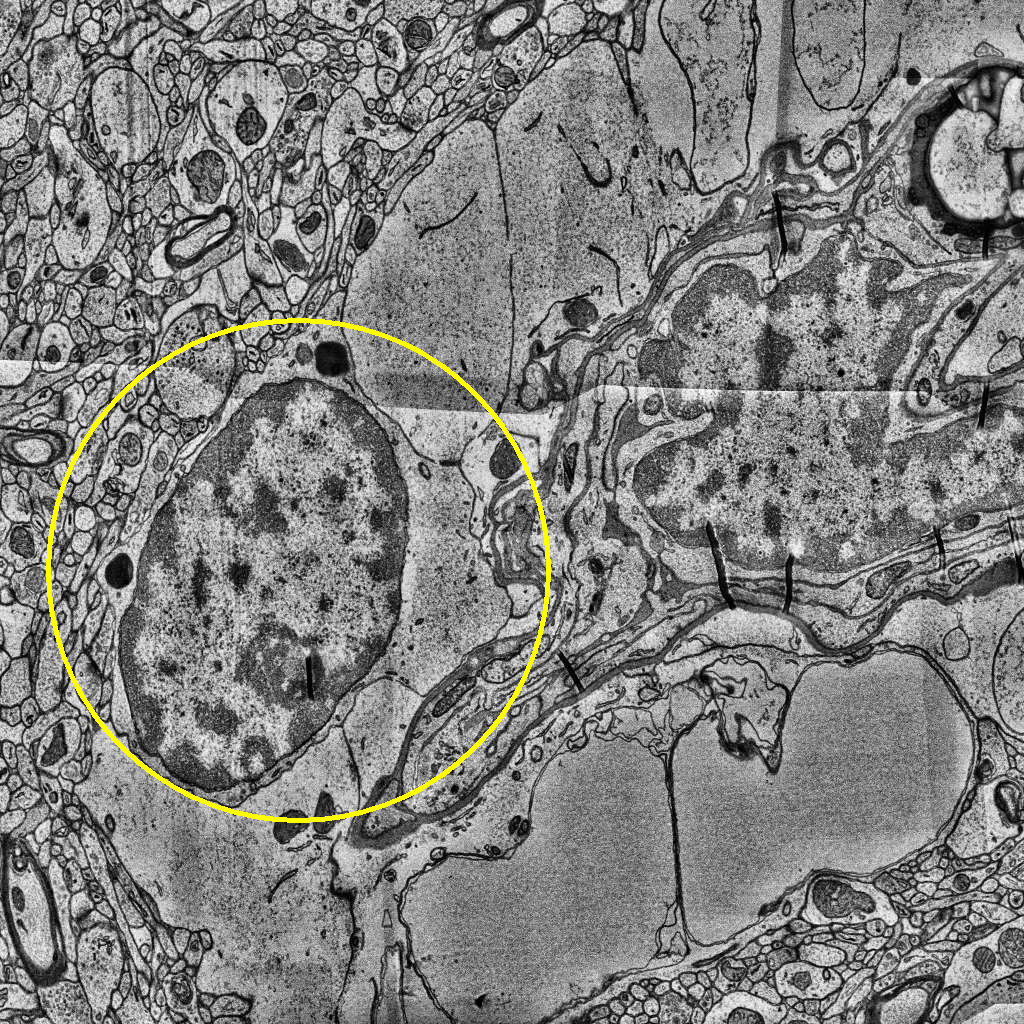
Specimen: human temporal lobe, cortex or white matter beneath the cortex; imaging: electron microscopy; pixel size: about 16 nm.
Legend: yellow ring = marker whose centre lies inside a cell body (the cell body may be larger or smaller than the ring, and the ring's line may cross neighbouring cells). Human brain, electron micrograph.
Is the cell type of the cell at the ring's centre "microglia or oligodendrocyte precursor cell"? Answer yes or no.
yes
